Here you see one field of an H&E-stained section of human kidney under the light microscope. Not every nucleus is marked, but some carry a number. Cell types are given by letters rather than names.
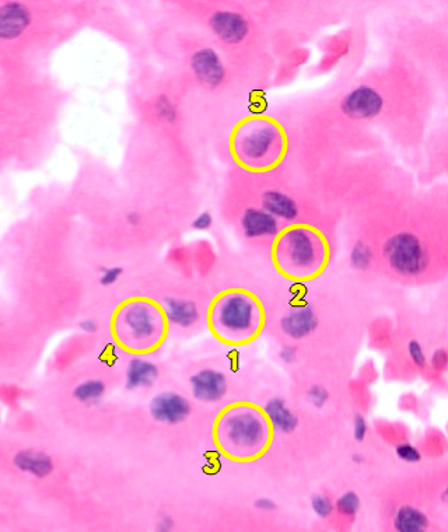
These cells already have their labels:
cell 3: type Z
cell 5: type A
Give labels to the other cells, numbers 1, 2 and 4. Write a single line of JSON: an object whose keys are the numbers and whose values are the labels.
{"1": "type Z", "2": "type A", "4": "type Z"}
